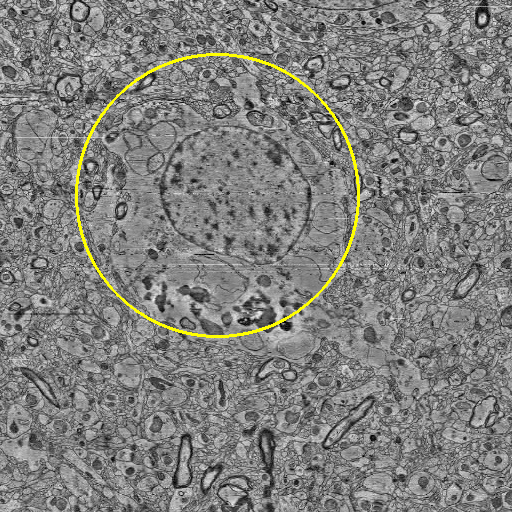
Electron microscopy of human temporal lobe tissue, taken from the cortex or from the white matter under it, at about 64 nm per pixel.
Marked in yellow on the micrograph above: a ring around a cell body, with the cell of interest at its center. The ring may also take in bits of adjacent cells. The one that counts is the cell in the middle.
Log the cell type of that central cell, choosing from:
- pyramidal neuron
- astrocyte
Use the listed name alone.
astrocyte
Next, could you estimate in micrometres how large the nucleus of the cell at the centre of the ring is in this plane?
About 9 micrometres across in this plane, for the nucleus.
